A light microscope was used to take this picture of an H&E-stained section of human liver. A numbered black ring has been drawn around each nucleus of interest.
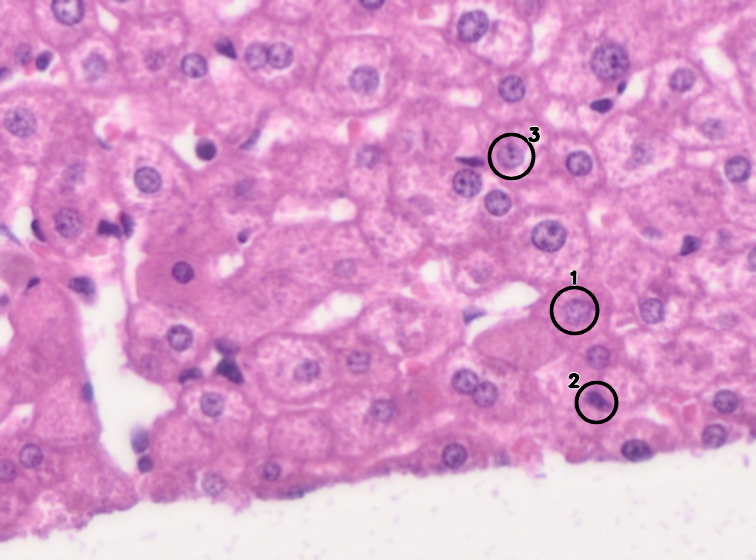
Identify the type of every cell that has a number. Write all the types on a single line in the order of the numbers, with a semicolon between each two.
hepatocyte; fibroblast or stellate cell; hepatocyte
